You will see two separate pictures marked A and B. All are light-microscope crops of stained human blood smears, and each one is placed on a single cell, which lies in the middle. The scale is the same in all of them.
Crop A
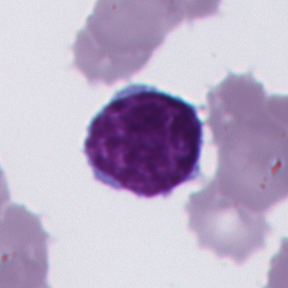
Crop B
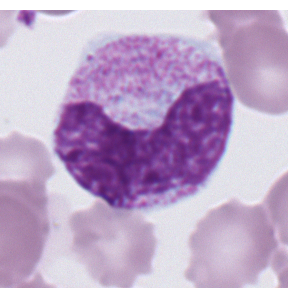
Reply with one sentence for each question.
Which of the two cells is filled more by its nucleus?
It is the cell in crop A that is filled more by its nucleus.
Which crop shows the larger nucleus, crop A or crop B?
The nucleus in crop B is larger, with about 1.5 times the area of the one in crop A.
